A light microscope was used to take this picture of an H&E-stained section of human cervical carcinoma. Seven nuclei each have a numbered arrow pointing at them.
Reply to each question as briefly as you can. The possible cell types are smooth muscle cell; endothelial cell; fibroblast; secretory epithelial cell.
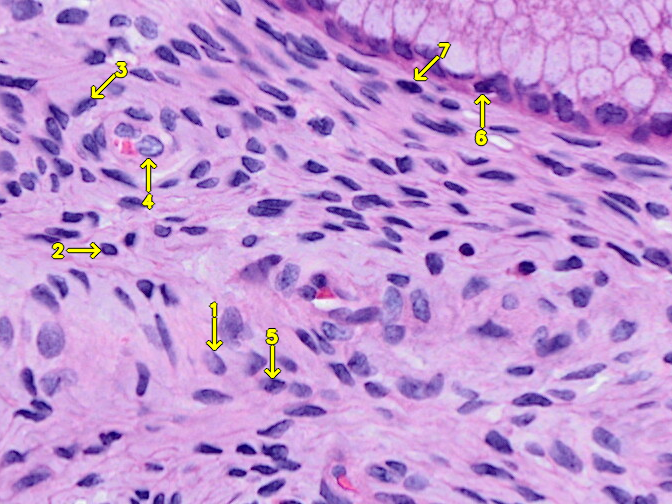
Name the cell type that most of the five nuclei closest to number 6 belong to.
secretory epithelial cell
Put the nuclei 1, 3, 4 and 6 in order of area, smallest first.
6, 3, 1, 4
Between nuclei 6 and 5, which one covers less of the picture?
6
